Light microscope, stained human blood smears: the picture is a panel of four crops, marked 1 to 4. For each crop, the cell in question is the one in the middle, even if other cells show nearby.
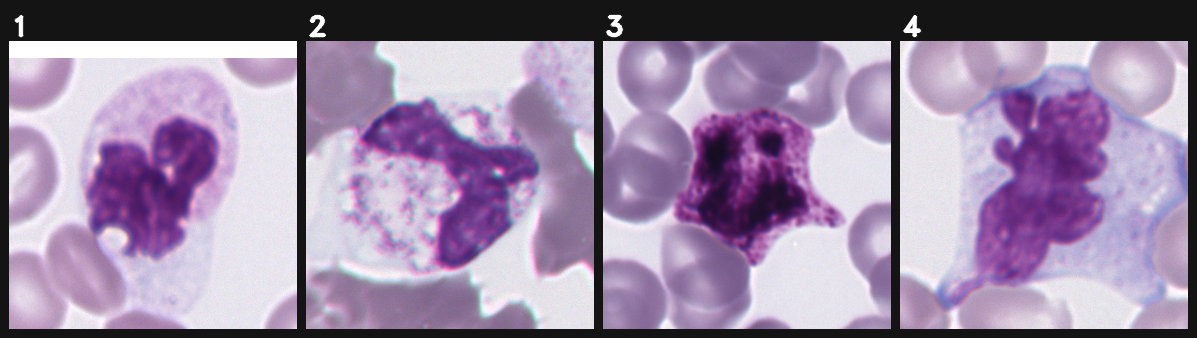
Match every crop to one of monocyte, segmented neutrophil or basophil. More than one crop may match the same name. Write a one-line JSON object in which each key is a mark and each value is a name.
{"1": "segmented neutrophil", "2": "segmented neutrophil", "3": "basophil", "4": "monocyte"}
